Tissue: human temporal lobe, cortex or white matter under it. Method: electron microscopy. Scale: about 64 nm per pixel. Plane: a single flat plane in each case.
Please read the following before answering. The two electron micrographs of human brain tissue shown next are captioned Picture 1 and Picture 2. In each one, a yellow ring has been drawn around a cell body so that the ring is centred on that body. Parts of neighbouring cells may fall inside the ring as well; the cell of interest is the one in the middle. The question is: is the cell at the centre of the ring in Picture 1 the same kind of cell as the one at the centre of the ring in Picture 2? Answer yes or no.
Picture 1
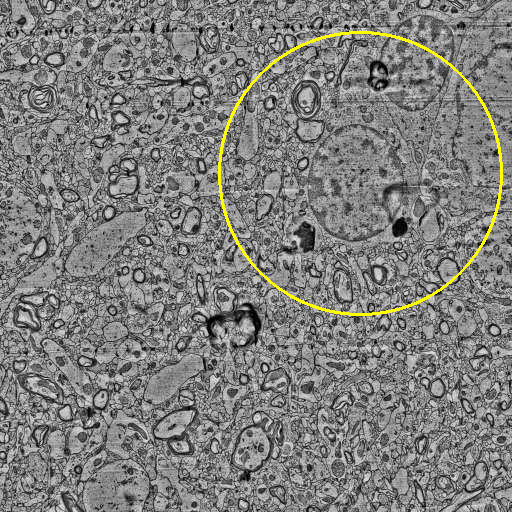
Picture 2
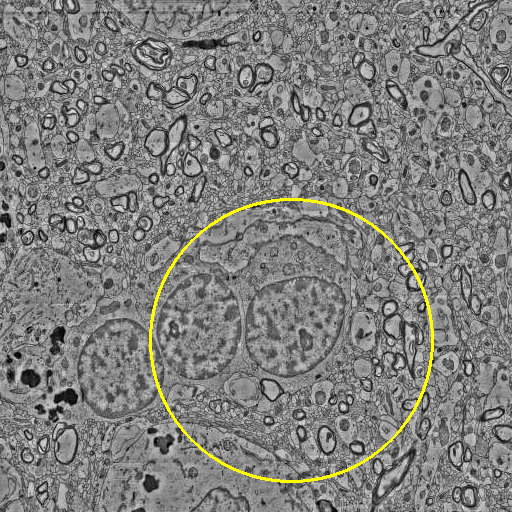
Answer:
yes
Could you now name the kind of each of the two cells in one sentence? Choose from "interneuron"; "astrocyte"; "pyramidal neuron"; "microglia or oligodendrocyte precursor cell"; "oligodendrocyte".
In each of the two pictures, the ringed cell is an oligodendrocyte.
